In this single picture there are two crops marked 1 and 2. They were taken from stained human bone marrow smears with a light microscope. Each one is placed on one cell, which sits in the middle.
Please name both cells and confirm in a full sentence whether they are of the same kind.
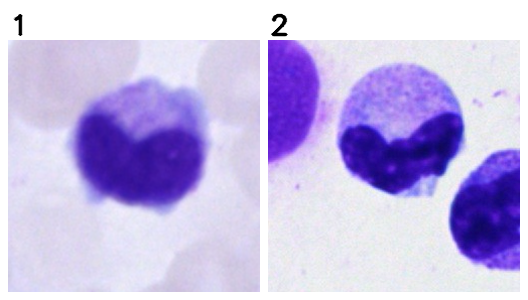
No, whereas crop 1 shows a metamyelocyte, crop 2 shows a band neutrophil.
